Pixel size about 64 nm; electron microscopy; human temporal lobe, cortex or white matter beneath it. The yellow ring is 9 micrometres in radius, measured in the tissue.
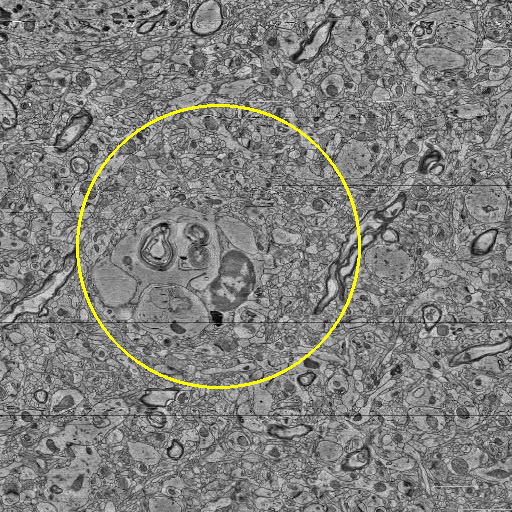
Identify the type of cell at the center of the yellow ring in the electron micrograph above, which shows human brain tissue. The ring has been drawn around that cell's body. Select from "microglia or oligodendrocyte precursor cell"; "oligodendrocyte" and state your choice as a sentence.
The yellow ring is centered on the body of a microglial cell or oligodendrocyte precursor cell.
